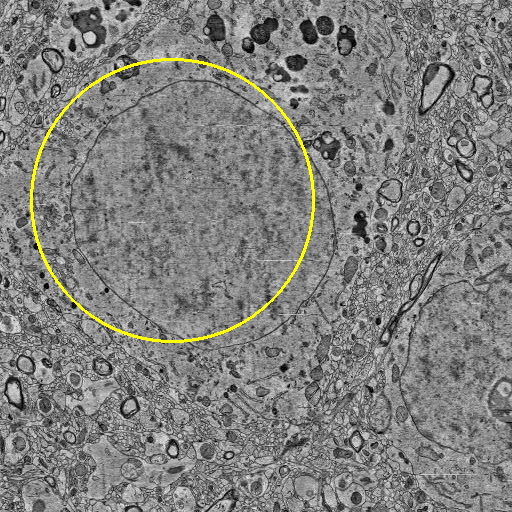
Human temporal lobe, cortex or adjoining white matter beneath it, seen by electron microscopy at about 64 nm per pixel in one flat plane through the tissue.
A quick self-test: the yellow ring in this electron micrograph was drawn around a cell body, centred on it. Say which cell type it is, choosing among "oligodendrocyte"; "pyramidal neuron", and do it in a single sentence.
The yellow-ringed cell is a pyramidal neuron.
